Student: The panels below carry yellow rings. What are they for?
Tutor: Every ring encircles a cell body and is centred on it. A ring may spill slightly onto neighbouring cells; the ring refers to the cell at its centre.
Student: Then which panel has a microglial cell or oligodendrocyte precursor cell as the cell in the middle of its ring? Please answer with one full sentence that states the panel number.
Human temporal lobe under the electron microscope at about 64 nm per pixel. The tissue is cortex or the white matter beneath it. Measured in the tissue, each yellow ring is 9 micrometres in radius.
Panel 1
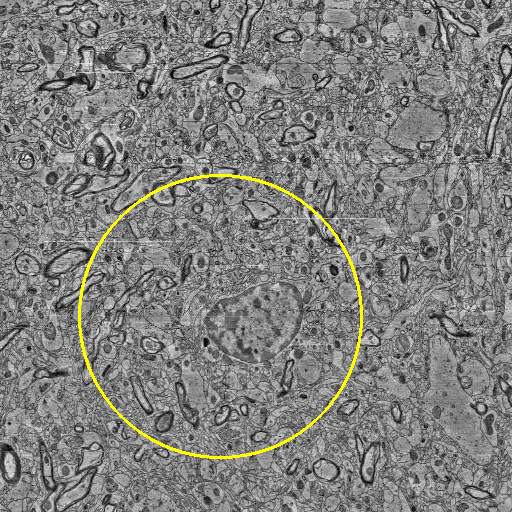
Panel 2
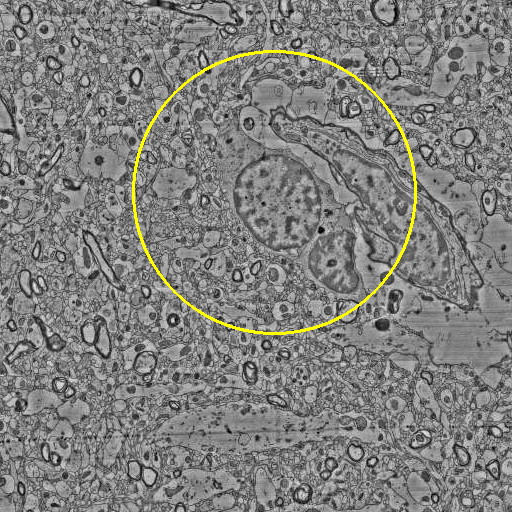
In Panel 1, the cell centred in the ring is the one sought.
